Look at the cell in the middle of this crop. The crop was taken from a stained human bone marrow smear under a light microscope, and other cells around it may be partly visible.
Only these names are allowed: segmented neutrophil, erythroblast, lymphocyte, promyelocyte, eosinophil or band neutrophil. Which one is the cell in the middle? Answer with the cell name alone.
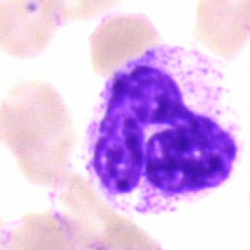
segmented neutrophil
